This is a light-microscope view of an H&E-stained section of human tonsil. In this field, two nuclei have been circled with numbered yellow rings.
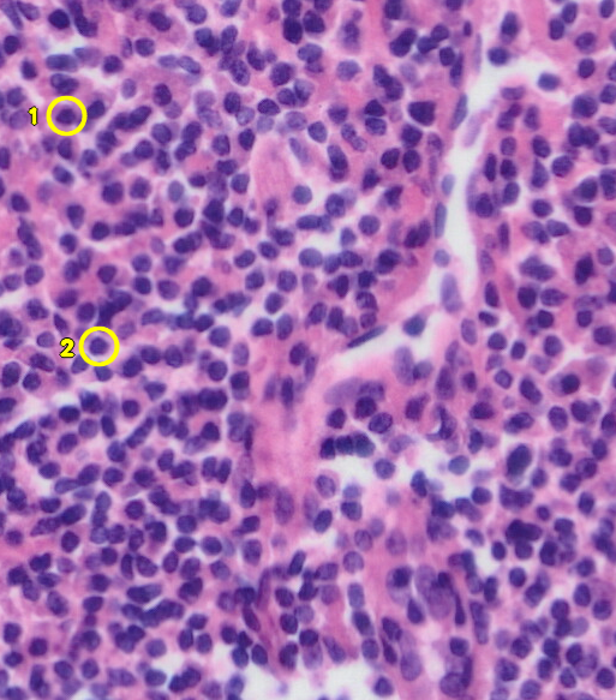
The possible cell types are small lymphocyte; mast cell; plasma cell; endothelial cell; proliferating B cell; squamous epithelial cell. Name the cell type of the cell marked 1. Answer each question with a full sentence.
Within this field of view, the cell labelled 1 is a plasma cell.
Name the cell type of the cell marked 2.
In this section, the cell tagged 2 is a small lymphocyte.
